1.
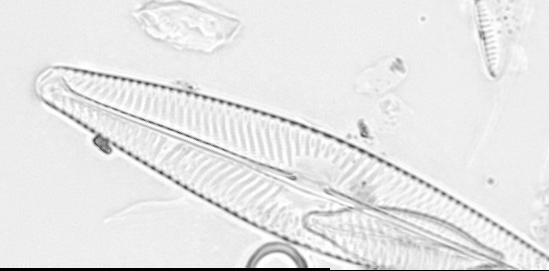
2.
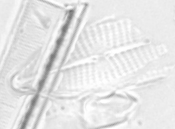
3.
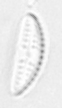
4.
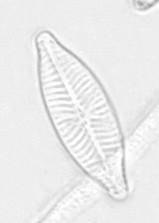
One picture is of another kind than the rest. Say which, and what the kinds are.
Picture 3 shows Amphora; the rest show Navicula.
